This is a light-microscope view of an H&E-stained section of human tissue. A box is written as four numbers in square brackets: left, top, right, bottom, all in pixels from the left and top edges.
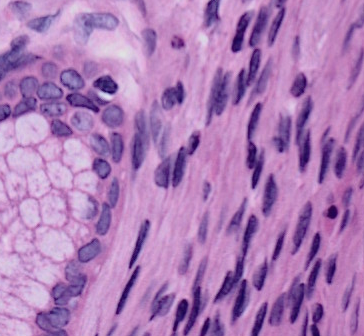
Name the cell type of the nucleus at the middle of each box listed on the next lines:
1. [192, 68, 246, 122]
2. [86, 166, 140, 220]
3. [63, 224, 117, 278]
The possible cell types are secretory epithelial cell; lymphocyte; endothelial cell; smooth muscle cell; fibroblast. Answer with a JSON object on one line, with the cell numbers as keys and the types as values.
{"1": "fibroblast", "2": "secretory epithelial cell", "3": "secretory epithelial cell"}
